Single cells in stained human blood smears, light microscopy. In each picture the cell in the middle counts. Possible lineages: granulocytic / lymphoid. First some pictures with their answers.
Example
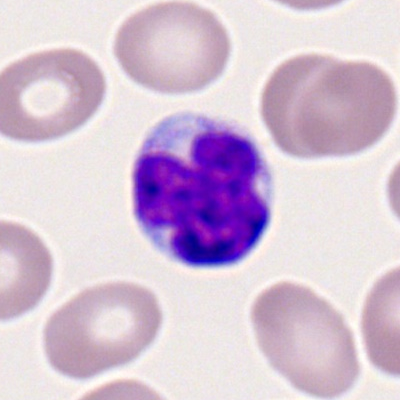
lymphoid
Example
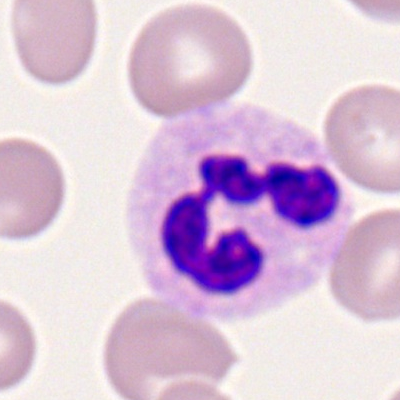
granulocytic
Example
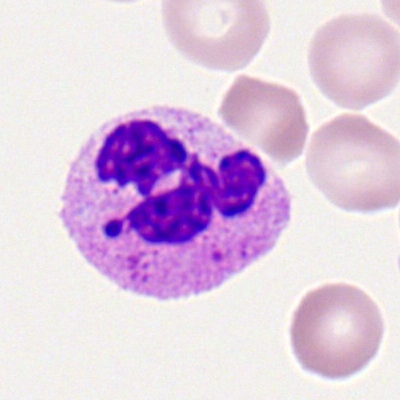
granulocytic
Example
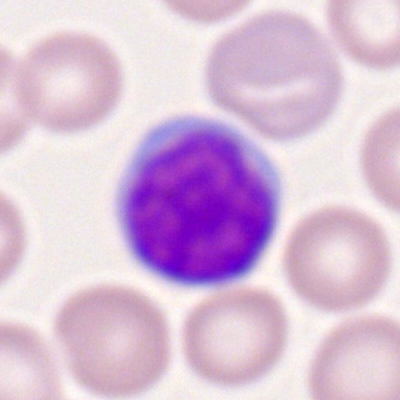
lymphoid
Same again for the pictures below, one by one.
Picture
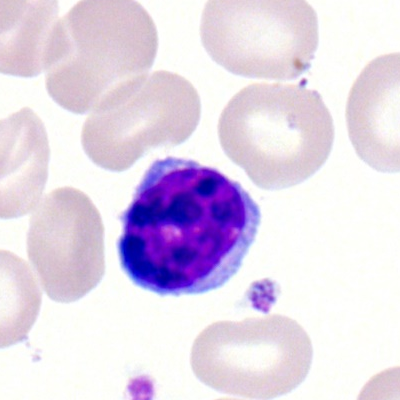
lymphoid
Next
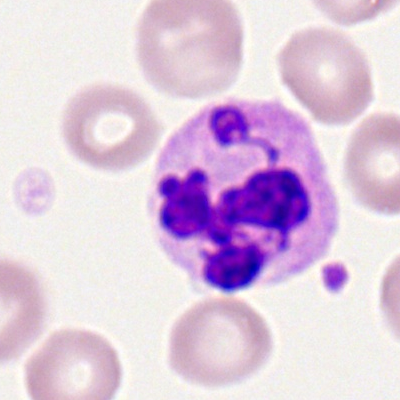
granulocytic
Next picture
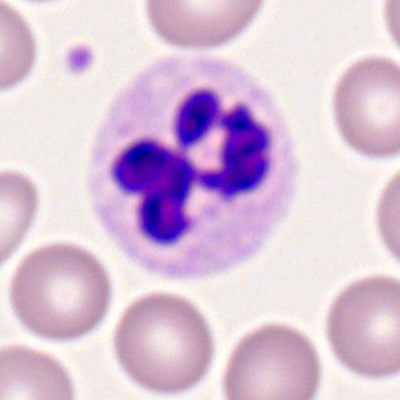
granulocytic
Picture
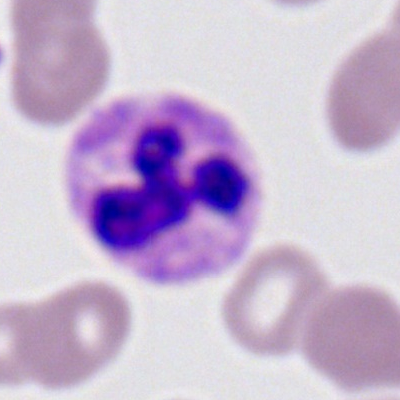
granulocytic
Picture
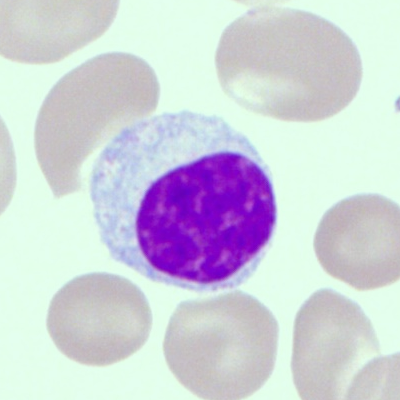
lymphoid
